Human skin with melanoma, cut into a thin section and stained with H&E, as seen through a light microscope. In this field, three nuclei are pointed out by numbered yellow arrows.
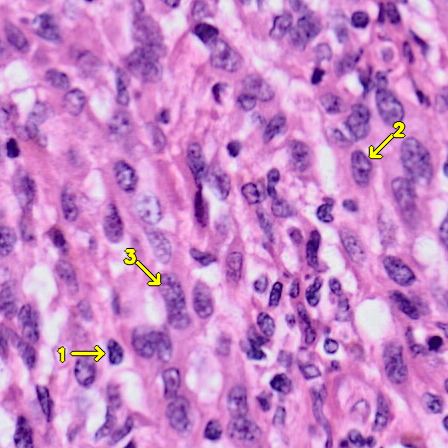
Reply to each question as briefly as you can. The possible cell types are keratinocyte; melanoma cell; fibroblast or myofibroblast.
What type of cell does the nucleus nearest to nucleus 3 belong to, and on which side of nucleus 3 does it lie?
a melanoma cell to the right of nucleus 3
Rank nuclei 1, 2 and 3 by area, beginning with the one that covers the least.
1, 2, 3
